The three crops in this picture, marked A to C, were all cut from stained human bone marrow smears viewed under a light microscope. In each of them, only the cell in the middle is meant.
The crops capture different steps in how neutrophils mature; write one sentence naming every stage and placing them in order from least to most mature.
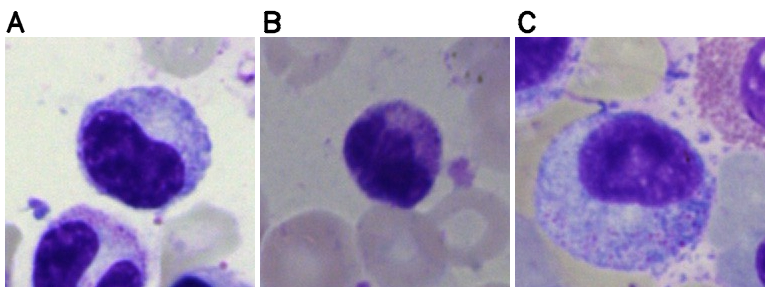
The order from the least mature cell to the most mature cell is crop C (a myelocyte), crop A (a metamyelocyte) and crop B (a segmented neutrophil).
